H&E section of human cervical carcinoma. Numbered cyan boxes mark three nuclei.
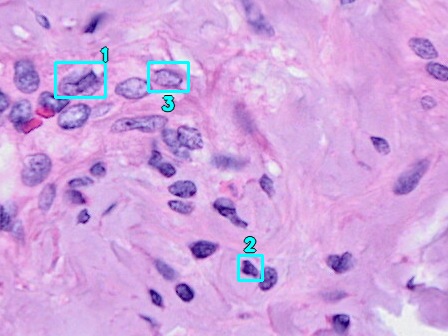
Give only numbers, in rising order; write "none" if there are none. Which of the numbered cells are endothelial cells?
1, 3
